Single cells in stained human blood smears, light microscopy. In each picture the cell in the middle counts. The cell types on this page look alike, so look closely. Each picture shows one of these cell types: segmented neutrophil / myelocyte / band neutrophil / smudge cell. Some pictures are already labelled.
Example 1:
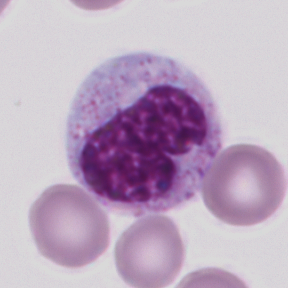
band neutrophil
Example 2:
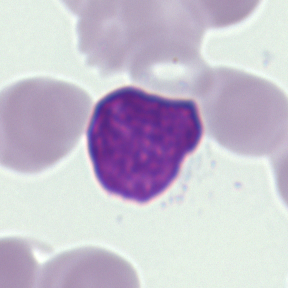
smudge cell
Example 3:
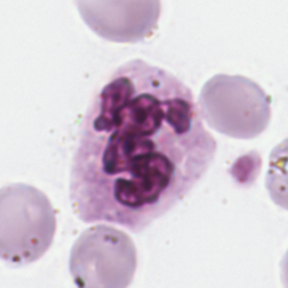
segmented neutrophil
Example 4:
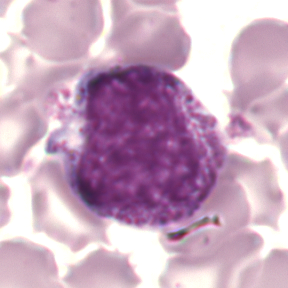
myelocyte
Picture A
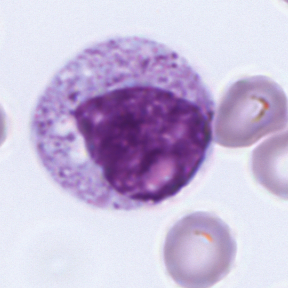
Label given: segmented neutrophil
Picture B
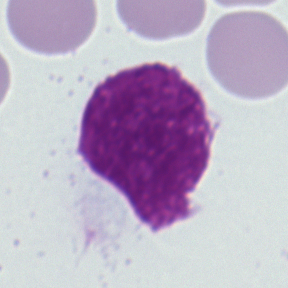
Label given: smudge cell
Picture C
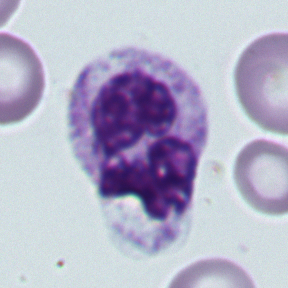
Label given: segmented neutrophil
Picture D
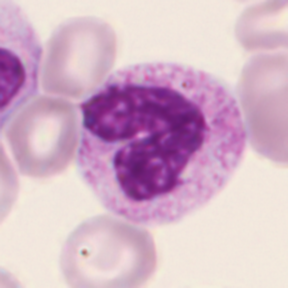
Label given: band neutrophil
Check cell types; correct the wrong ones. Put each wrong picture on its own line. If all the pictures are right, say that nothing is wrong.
A: change segmented neutrophil to myelocyte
